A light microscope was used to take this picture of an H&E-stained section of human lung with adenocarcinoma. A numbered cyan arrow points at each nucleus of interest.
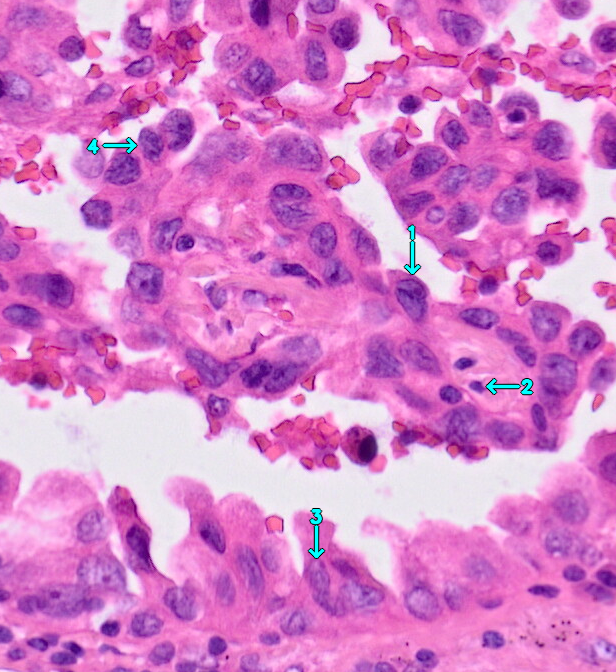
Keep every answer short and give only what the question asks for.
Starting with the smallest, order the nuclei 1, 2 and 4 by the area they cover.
2, 4, 1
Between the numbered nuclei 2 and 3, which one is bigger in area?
3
